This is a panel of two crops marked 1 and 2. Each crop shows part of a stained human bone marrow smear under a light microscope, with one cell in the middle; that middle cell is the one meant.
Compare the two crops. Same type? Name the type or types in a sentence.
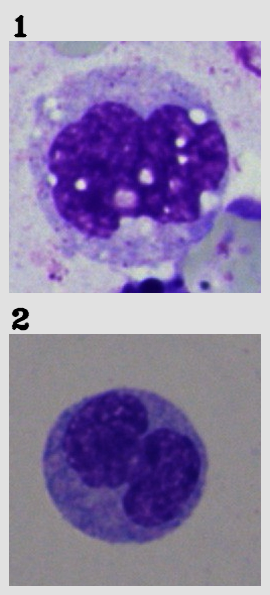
Yes, put down monocytes for both crops.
